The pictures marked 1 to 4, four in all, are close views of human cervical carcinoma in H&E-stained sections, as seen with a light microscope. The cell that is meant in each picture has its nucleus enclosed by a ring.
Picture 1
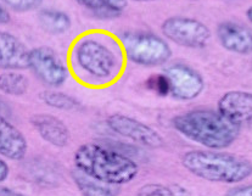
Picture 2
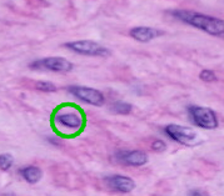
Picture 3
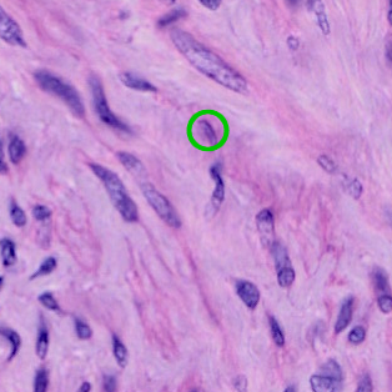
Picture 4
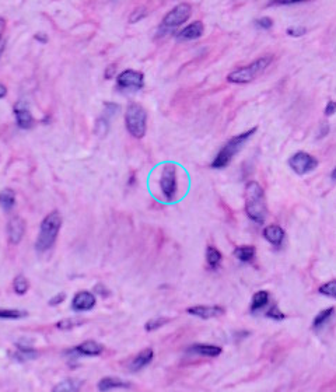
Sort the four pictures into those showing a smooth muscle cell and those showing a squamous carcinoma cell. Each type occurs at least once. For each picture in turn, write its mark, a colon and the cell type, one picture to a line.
1: squamous carcinoma cell
2: smooth muscle cell
3: smooth muscle cell
4: smooth muscle cell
